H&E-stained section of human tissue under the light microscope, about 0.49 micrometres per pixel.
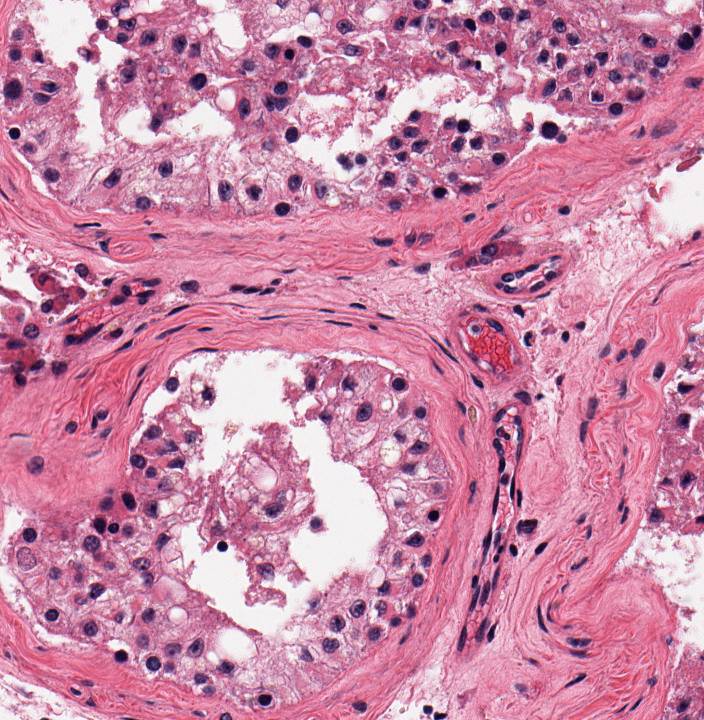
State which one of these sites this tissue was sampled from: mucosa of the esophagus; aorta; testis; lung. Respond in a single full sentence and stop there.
This specimen was obtained from the testis.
